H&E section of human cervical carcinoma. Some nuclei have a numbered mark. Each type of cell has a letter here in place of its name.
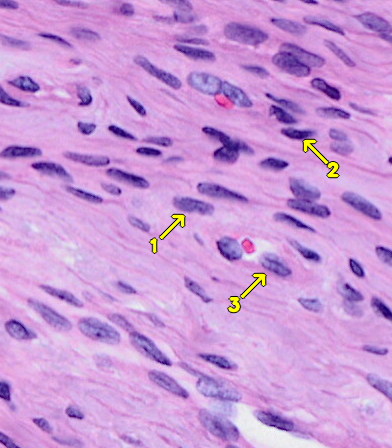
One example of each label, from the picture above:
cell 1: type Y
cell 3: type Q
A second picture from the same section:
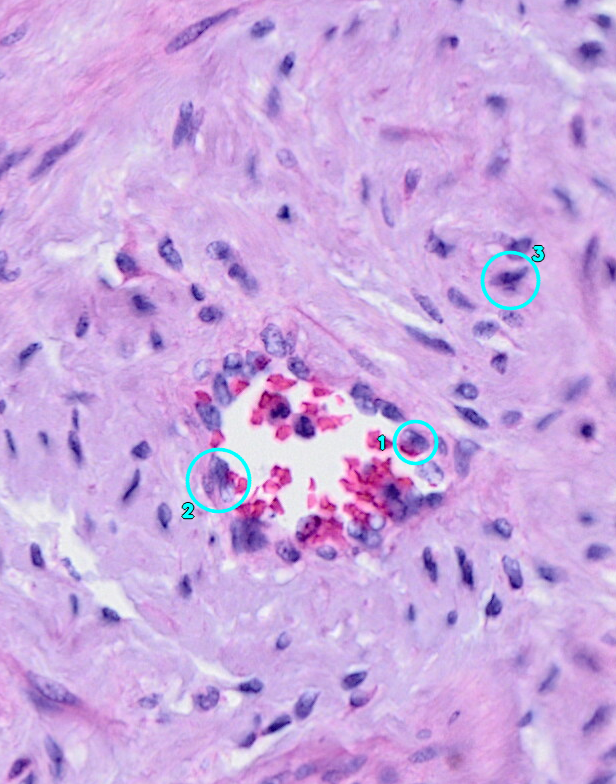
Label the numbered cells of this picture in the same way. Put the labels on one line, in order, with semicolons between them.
type Q; type Q; type Y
